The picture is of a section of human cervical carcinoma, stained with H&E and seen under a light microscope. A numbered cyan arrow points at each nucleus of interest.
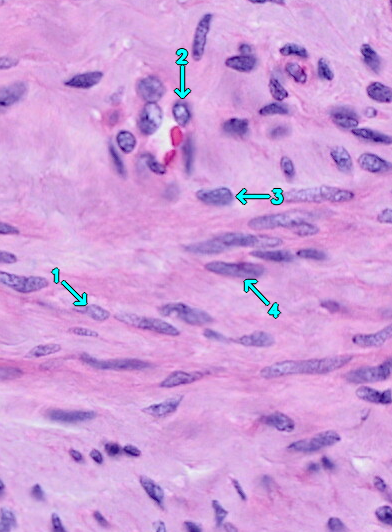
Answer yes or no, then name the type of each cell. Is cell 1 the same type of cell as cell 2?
No, cell 1 is a smooth muscle cell and cell 2 is an endothelial cell.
